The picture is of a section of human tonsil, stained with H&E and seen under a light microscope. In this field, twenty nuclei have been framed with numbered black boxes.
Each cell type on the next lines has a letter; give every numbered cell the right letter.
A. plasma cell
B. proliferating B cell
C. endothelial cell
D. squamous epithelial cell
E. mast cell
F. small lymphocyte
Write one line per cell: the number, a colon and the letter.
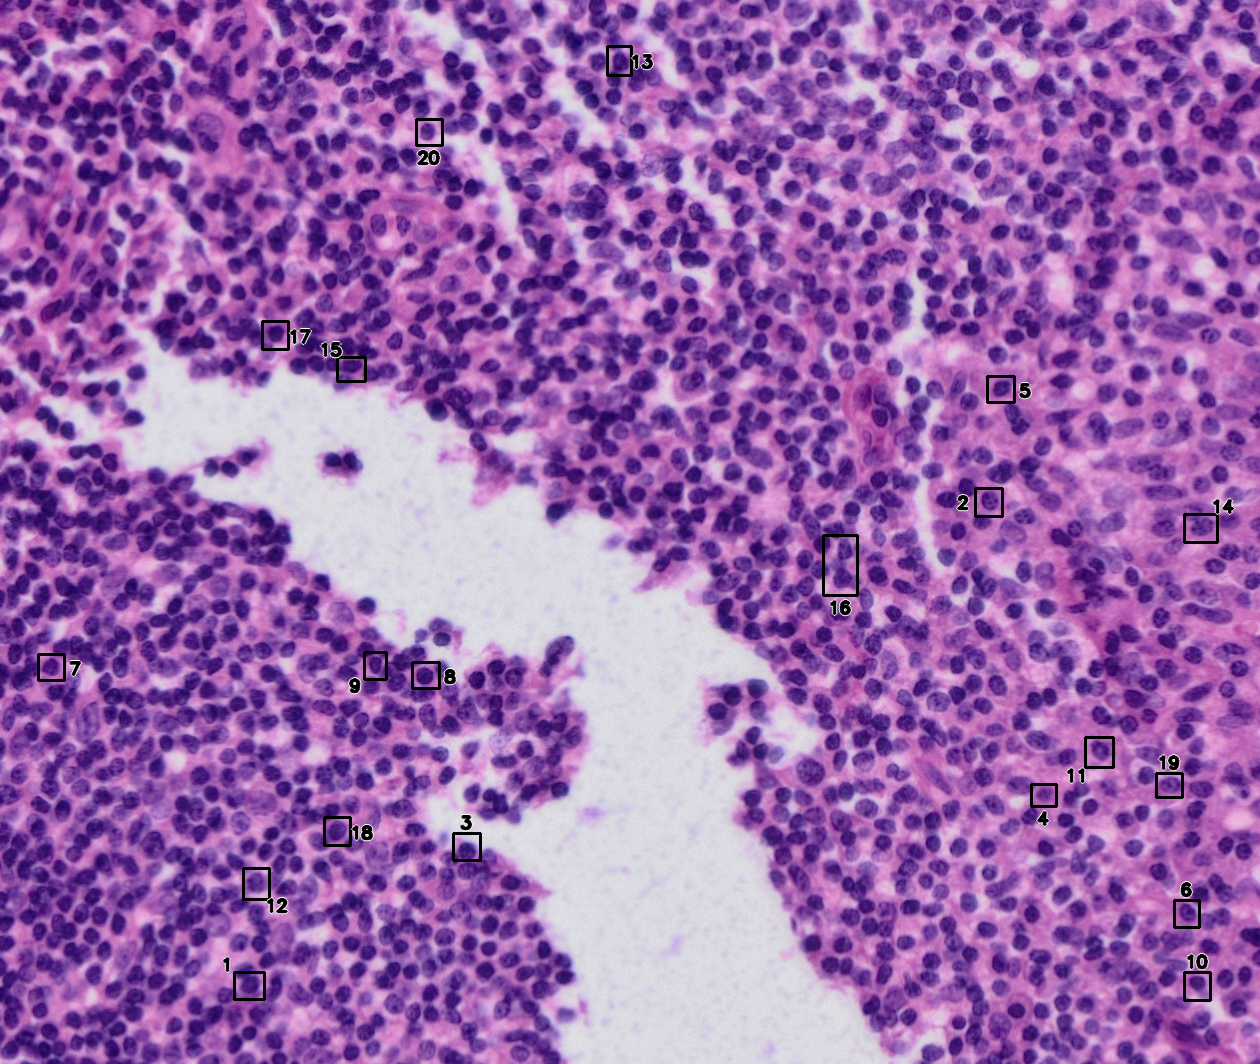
1: F
2: A
3: F
4: A
5: A
6: A
7: F
8: F
9: F
10: A
11: A
12: F
13: F
14: A
15: F
16: F
17: A
18: F
19: A
20: F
